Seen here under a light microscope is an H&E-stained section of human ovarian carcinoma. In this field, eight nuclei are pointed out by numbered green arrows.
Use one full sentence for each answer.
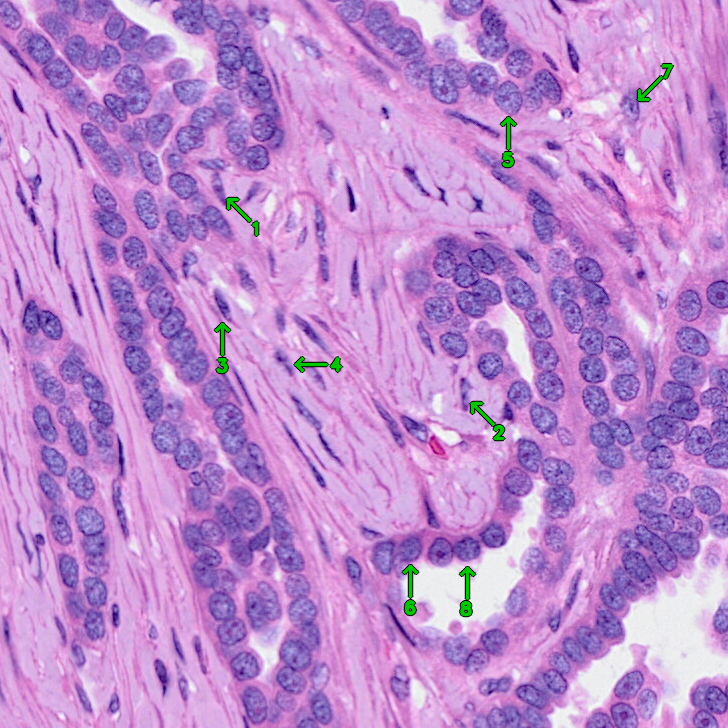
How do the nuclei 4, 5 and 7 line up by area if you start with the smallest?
By area, going up from the smallest, they rank 4, 7, 5.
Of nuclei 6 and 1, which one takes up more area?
Nucleus 6 covers more area, about 2 times as much as nucleus 1.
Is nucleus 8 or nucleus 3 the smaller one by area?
With nucleus 8 about 1.5 times its size, nucleus 3 is the smaller of the two.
